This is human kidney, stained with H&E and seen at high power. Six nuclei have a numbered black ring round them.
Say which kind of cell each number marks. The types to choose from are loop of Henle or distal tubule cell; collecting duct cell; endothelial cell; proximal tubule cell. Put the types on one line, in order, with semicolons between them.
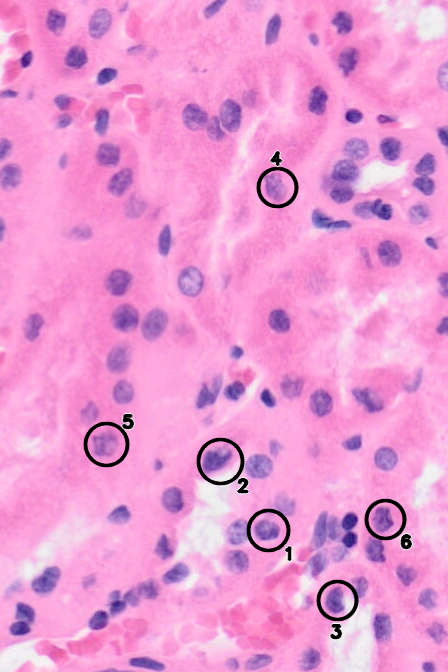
loop of Henle or distal tubule cell; loop of Henle or distal tubule cell; loop of Henle or distal tubule cell; proximal tubule cell; proximal tubule cell; proximal tubule cell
